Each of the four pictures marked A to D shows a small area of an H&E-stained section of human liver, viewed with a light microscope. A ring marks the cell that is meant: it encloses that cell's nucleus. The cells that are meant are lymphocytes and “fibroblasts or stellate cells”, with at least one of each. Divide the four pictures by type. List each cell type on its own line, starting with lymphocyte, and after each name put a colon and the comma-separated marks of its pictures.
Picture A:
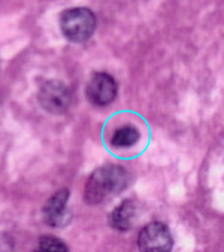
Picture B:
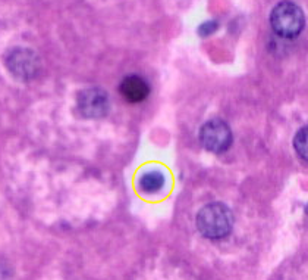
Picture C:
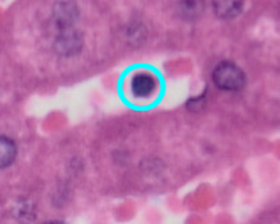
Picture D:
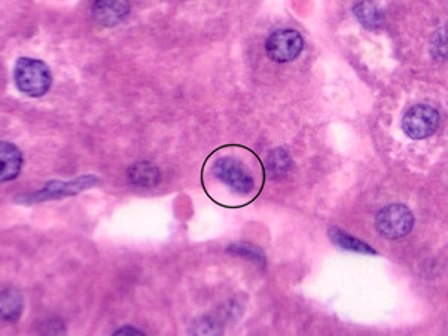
lymphocyte: A, B, C
fibroblast or stellate cell: D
